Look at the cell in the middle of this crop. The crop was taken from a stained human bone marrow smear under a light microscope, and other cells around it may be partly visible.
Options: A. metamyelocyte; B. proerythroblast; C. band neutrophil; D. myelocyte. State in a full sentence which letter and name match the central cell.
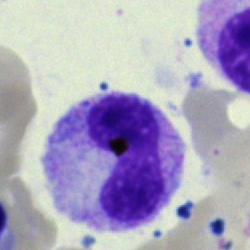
The middle cell of the crop is a band neutrophil; accordingly, option C is correct.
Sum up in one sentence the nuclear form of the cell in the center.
Worth pointing out that its nucleus is one compact mass, round, oval or reniform.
